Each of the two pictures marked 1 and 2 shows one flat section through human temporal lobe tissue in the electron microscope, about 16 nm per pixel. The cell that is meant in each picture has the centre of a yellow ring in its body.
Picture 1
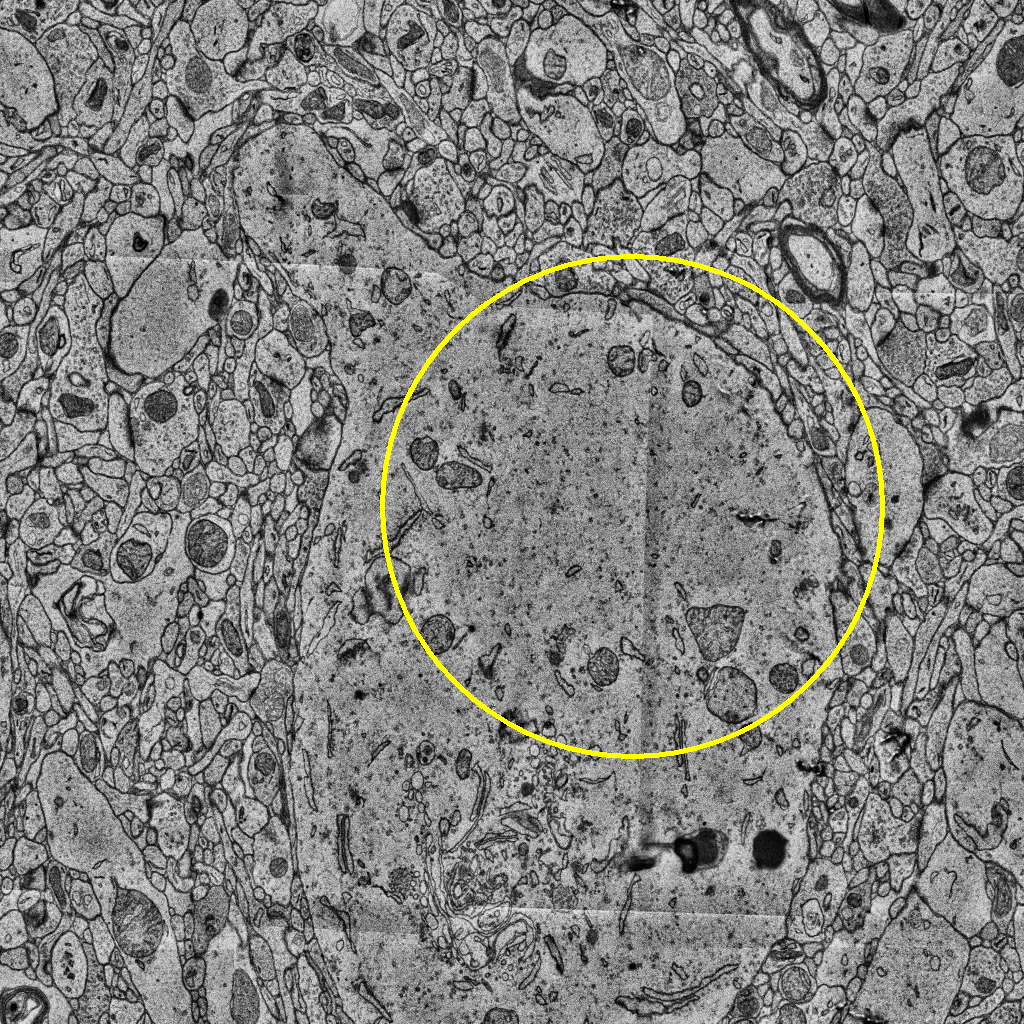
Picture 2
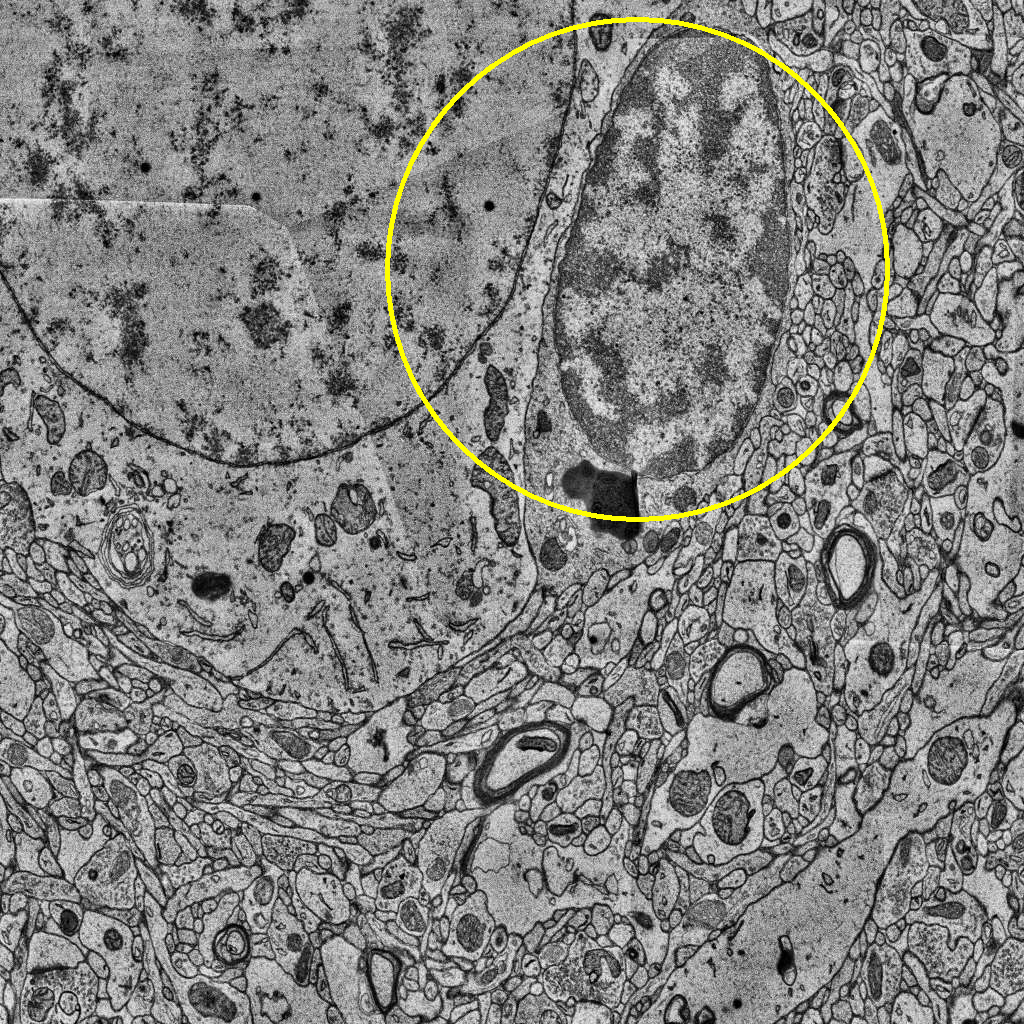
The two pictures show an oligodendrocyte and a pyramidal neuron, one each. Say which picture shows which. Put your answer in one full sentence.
Picture 1 is of a pyramidal neuron, and picture 2 is of an oligodendrocyte.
